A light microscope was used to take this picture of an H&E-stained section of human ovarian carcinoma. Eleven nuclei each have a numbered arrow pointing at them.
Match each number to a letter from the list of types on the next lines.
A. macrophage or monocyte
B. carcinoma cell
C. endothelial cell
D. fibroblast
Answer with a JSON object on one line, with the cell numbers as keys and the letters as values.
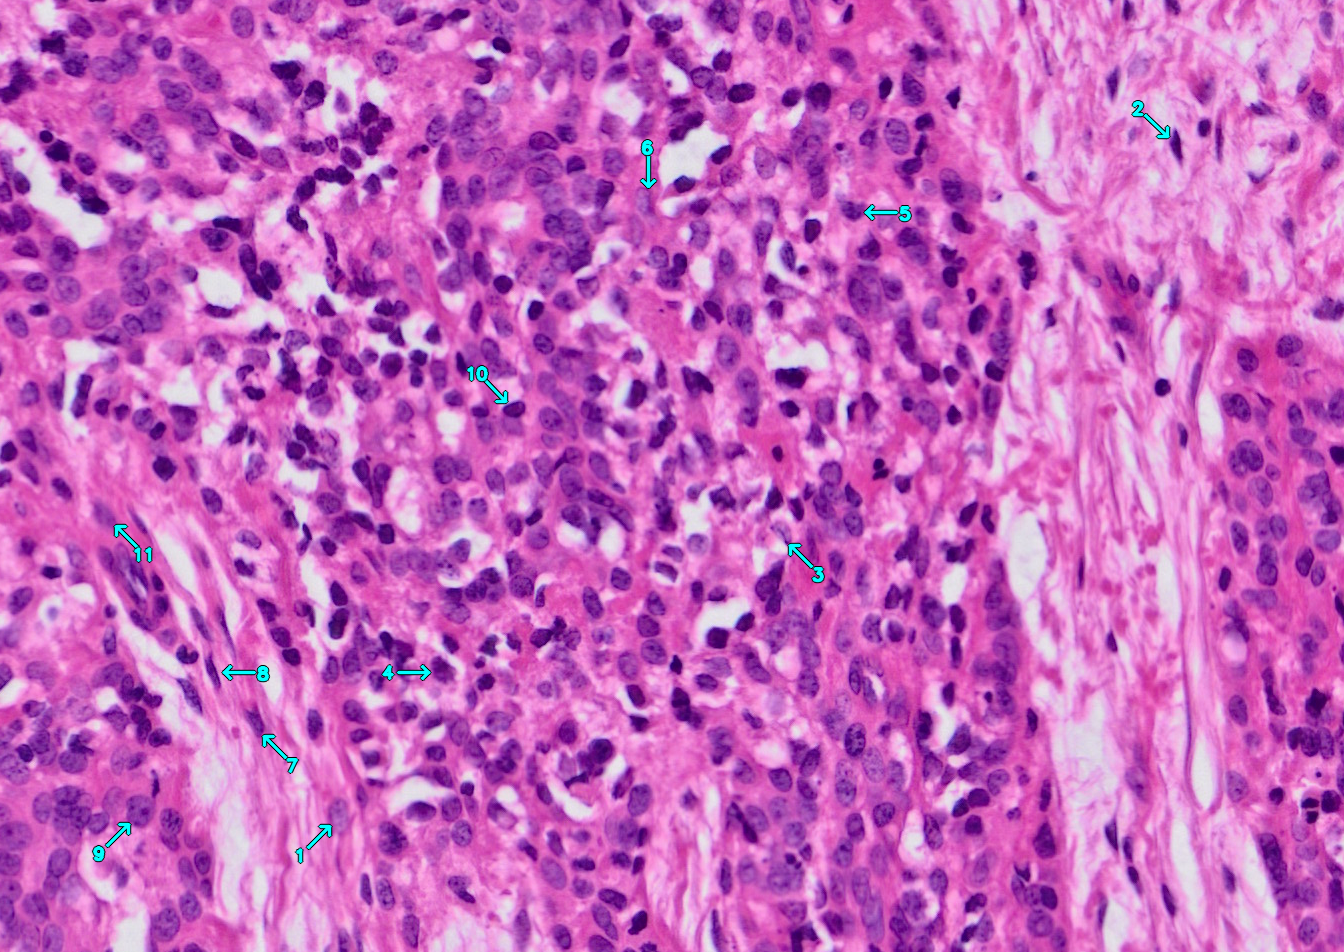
{"1": "C", "2": "D", "3": "A", "4": "B", "5": "A", "6": "C", "7": "D", "8": "D", "9": "B", "10": "B", "11": "D"}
